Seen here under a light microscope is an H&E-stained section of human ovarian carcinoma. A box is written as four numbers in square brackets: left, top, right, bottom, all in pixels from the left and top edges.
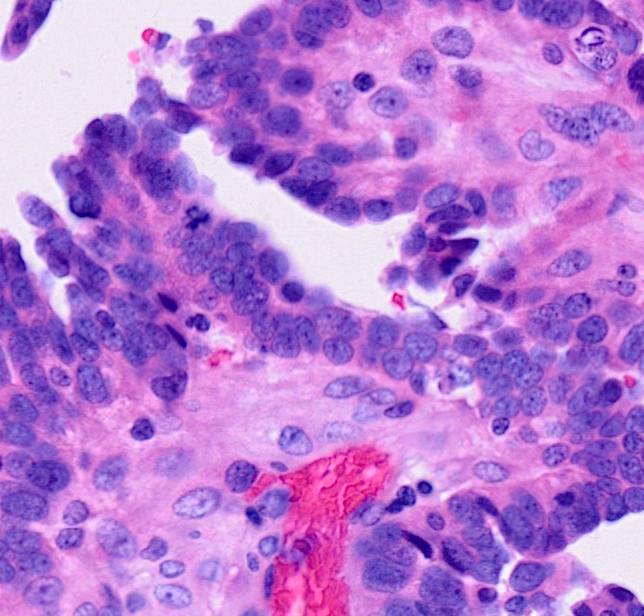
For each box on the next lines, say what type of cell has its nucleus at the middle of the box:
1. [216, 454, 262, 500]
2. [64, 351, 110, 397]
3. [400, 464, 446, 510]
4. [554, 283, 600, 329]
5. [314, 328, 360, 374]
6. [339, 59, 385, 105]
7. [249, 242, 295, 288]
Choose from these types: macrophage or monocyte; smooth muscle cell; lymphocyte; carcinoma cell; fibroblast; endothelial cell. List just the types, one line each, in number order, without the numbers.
endothelial cell
carcinoma cell
lymphocyte
carcinoma cell
carcinoma cell
lymphocyte
carcinoma cell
